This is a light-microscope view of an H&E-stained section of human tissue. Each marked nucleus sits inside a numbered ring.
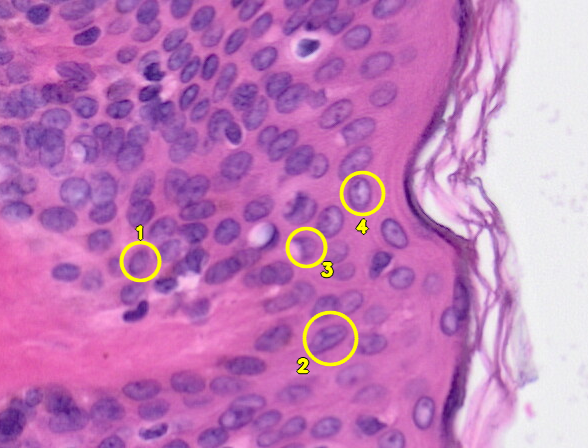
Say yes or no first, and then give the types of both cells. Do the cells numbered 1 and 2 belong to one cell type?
No, cell 1 is a basal keratinocyte, while cell 2 is a suprabasal keratinocyte.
